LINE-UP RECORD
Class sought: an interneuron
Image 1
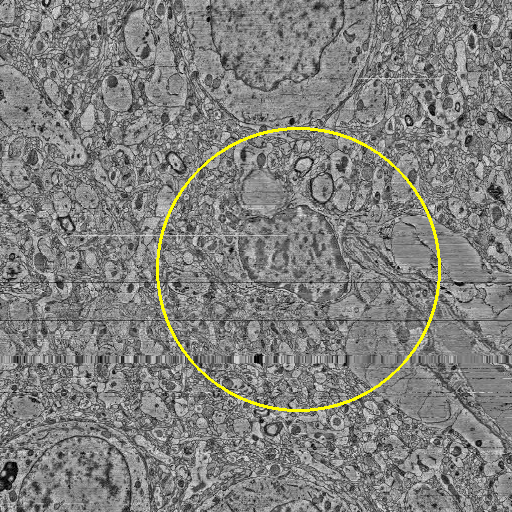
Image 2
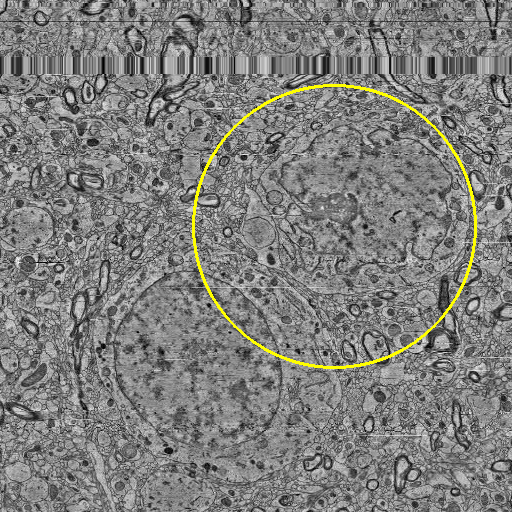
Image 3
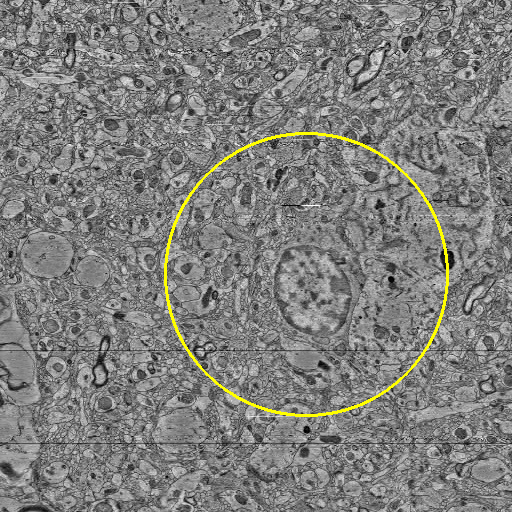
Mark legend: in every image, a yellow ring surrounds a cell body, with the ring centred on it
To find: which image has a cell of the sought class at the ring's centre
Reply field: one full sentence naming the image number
The ring-centred cell of image 2 belongs to the class sought.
